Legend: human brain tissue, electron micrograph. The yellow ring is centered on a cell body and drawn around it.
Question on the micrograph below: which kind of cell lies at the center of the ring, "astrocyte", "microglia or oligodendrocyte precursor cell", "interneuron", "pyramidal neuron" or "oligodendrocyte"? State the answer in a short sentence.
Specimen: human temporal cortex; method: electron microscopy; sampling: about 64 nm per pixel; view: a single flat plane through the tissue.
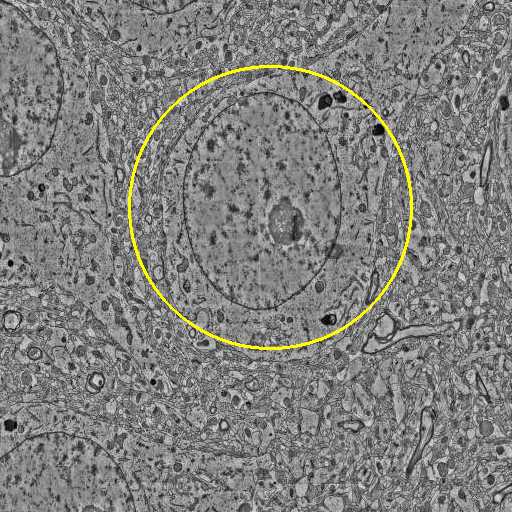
At the center of the ring lies a pyramidal neuron.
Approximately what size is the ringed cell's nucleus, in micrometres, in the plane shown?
In this plane, approximately 14 by 10 micrometers.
